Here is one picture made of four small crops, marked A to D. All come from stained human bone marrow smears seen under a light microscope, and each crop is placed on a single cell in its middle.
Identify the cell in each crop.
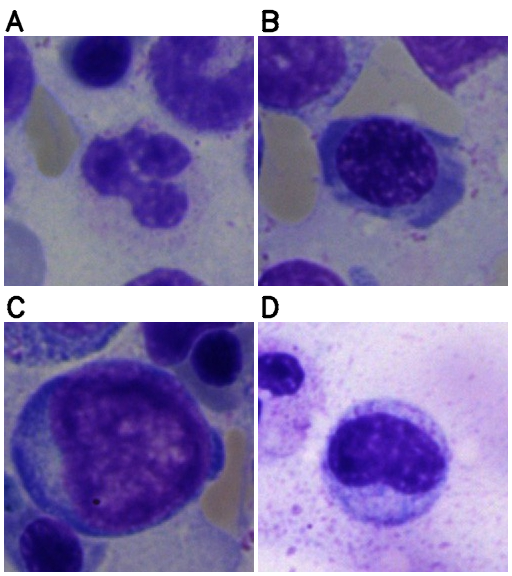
A: segmented neutrophil
B: erythroblast
C: blast
D: metamyelocyte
